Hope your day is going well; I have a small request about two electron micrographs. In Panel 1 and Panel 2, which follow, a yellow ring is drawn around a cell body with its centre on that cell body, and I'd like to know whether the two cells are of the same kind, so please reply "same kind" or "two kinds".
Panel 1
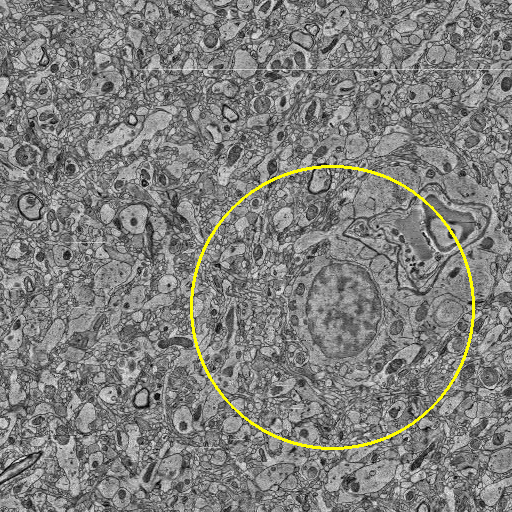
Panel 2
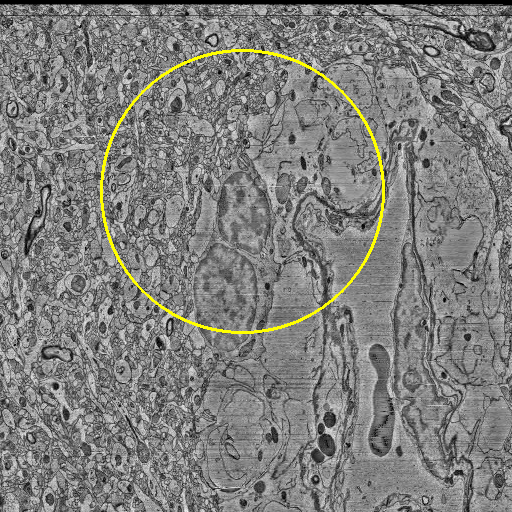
same kind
